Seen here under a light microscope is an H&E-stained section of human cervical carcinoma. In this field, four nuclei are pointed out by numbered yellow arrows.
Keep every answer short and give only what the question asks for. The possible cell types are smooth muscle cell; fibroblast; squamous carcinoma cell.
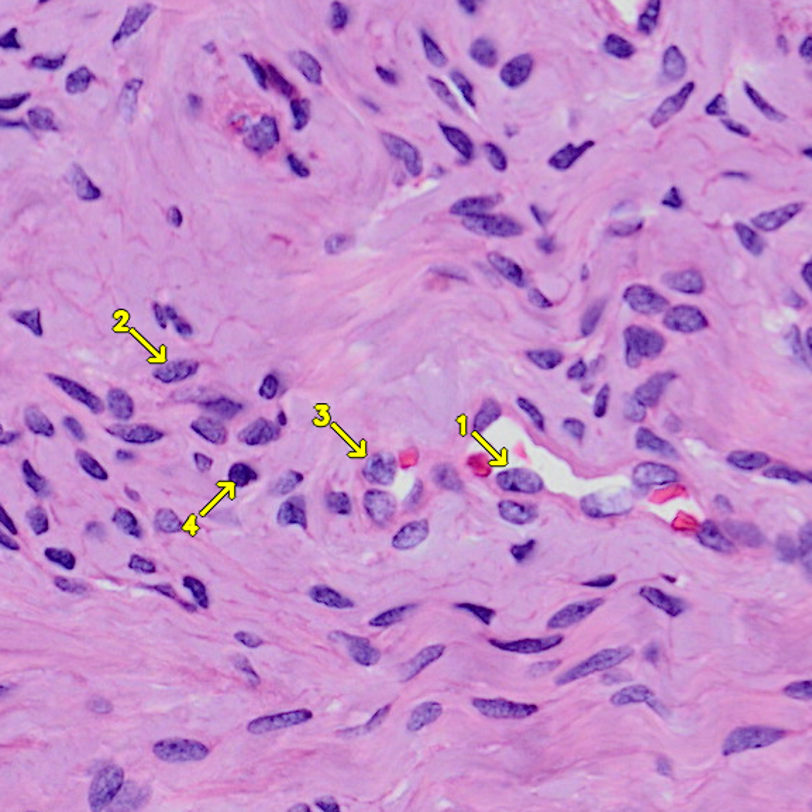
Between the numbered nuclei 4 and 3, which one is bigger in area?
3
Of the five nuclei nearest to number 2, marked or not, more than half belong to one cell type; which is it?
fibroblast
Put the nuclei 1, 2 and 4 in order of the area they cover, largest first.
1, 2, 4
